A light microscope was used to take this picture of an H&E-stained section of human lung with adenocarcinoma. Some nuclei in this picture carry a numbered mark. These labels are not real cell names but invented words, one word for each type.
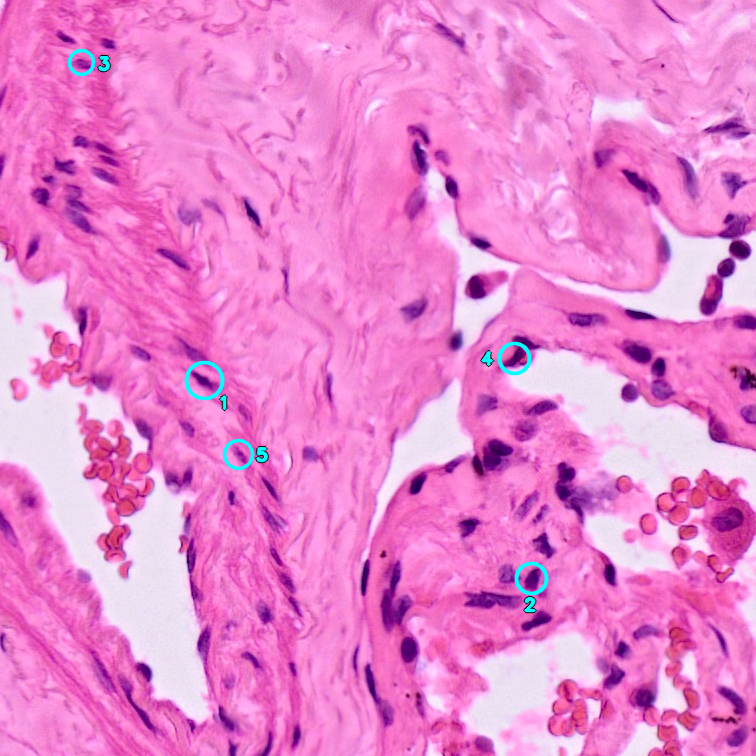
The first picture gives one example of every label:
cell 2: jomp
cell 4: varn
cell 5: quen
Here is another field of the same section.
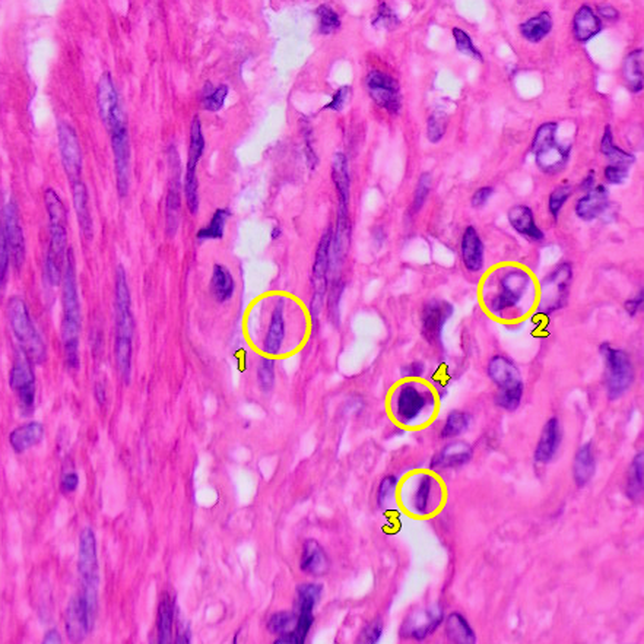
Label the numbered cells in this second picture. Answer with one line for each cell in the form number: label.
1: quen
2: varn
3: varn
4: jomp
